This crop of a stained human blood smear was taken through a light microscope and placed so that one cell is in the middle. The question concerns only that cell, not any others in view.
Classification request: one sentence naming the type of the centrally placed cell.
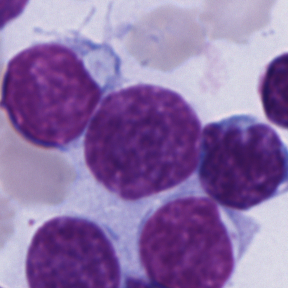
What sits at the centre of this crop is a blast.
